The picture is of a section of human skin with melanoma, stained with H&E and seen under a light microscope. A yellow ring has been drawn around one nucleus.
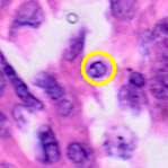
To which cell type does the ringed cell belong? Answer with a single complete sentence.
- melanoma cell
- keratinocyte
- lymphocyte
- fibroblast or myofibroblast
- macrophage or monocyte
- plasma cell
Labelled by cell type, the ringed cell is a lymphocyte.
